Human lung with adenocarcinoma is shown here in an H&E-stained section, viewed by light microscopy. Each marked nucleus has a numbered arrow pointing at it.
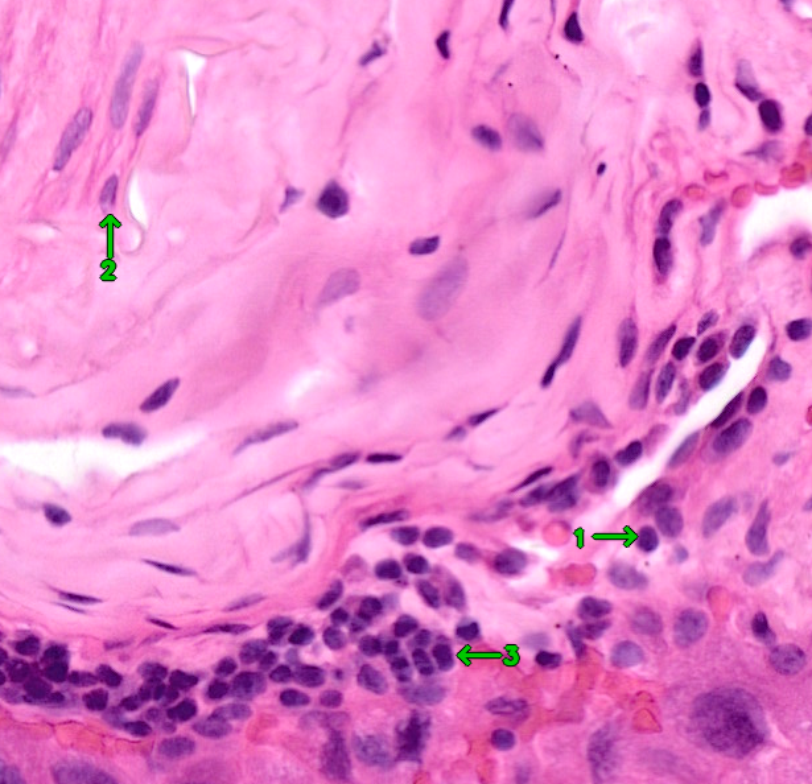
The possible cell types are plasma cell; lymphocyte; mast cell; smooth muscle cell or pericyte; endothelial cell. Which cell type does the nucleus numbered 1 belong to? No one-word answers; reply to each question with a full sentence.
The cell identified by the number 1 is a lymphocyte.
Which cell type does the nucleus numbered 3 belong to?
Cell 3 of the marked set is a lymphocyte.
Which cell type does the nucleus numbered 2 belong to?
The cell carrying label 2 is identified as a smooth muscle cell or pericyte.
